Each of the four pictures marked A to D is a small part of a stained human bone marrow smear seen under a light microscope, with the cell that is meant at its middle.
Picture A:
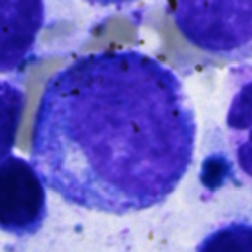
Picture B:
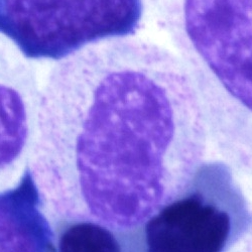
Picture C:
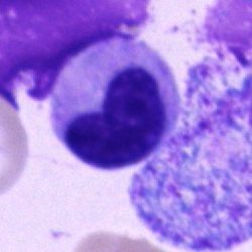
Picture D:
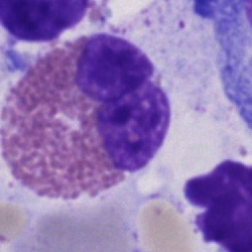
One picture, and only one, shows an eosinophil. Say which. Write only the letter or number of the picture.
D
